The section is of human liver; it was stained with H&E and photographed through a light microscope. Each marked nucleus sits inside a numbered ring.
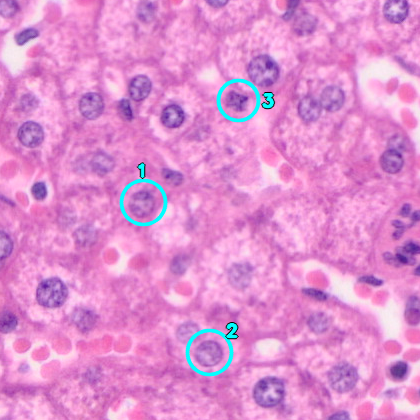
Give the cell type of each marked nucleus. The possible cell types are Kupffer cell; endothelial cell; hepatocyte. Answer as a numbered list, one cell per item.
1. hepatocyte
2. hepatocyte
3. endothelial cell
